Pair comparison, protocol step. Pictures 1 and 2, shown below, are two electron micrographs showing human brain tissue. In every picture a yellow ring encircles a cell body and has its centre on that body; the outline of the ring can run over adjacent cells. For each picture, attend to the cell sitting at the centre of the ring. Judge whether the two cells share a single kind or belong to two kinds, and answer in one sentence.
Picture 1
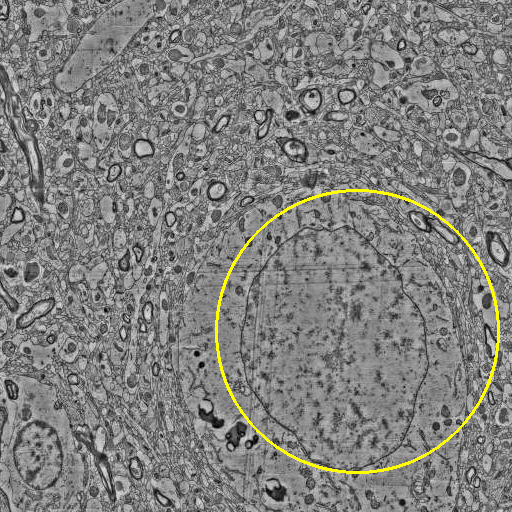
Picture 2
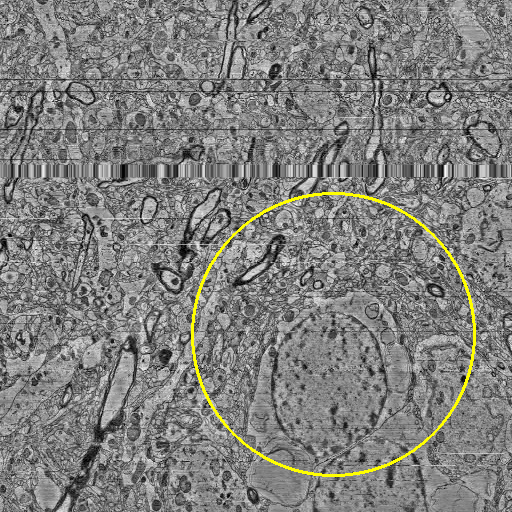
The two cells at the ring centres in Picture 1 and Picture 2 belong to two kinds.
